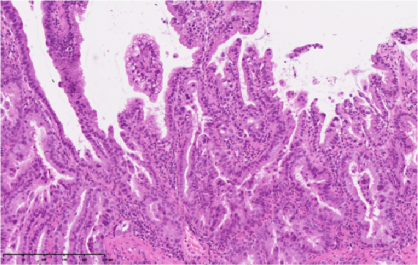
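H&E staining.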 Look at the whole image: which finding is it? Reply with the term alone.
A: well-differentiated carcinoma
